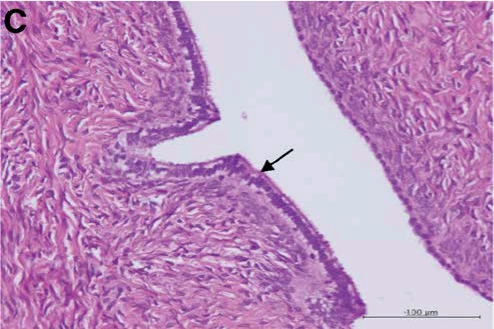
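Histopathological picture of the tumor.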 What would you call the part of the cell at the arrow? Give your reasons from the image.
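Cilia. The arrow points to the free surface of a single row of columnar cells. A fine fringe lines the apical edge of the cells facing the space.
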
